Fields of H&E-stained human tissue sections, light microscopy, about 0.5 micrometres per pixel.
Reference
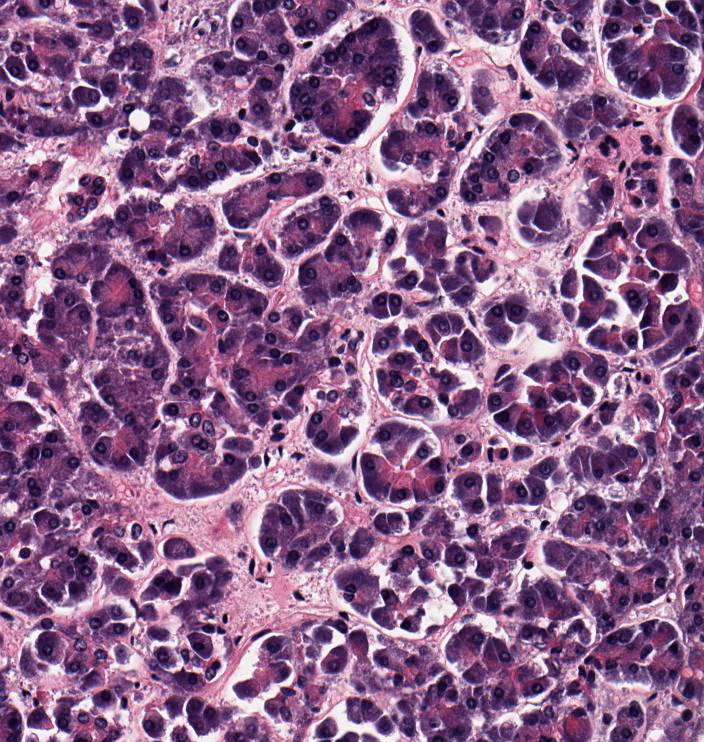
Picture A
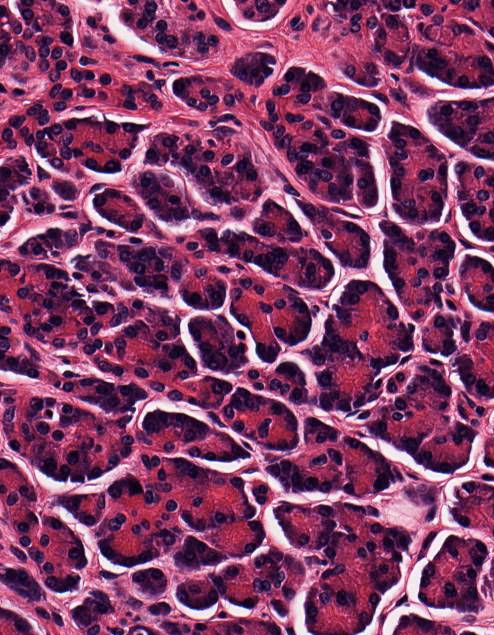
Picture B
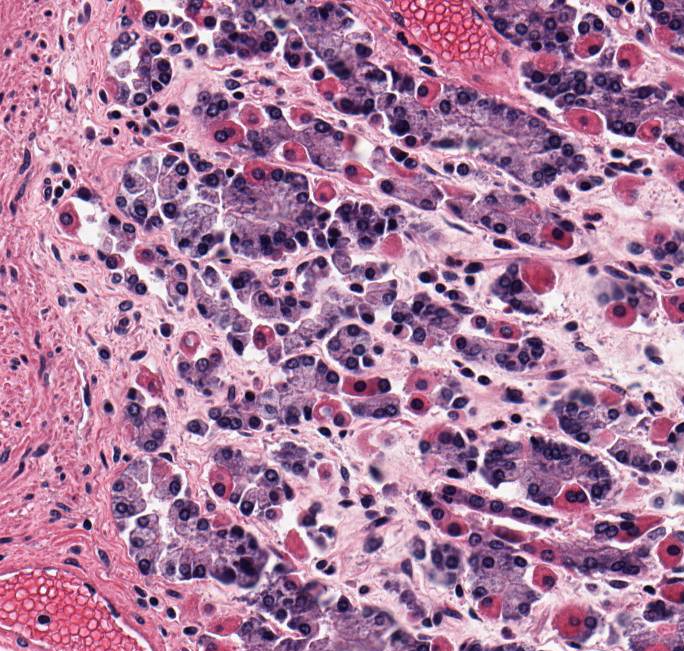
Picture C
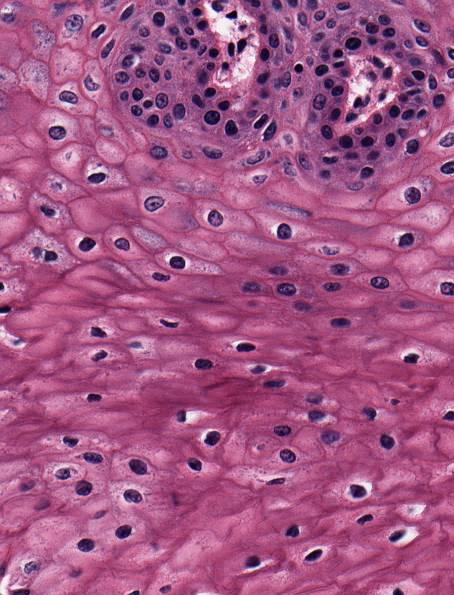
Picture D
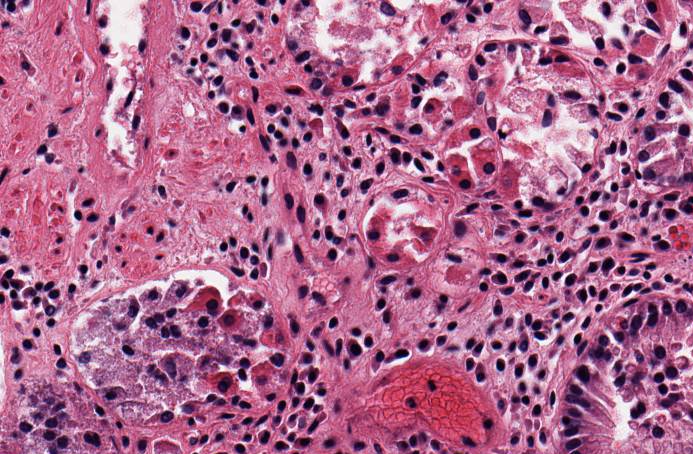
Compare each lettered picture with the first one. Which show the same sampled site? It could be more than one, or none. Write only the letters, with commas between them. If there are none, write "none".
A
